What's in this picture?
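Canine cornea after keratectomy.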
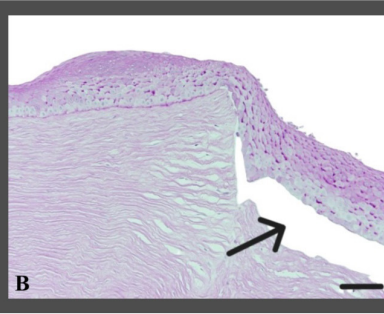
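On top lies a layered epithelium of many rows of cells with small dark purple nuclei, resting on a thin darker line at its base. Below it is the thick stroma, pale pink with long parallel wavy collagen lamellae and few scattered cells.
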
